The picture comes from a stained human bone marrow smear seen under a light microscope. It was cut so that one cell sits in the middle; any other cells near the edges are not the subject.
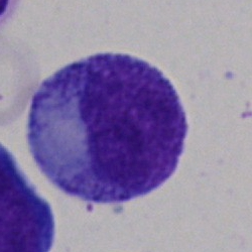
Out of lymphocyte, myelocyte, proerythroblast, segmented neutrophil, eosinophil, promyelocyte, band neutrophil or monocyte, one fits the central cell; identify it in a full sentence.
The cell nearest the centre of this crop is a promyelocyte.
